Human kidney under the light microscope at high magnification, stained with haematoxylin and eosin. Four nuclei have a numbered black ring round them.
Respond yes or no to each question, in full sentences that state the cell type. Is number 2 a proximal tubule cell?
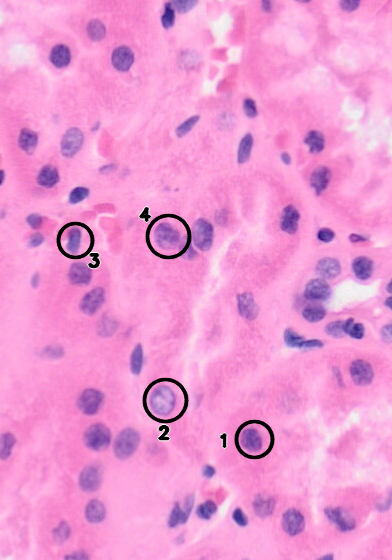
Yes, regarding cell number 2, it is a proximal tubule cell.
